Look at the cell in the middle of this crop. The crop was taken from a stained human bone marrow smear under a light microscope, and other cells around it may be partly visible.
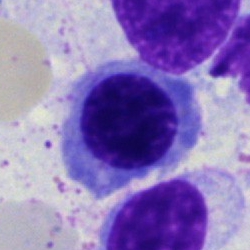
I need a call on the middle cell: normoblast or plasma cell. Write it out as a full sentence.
Here the cell in the middle is a normoblast.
